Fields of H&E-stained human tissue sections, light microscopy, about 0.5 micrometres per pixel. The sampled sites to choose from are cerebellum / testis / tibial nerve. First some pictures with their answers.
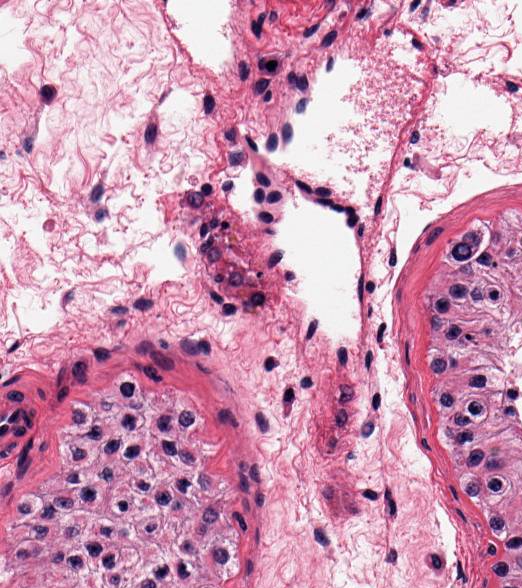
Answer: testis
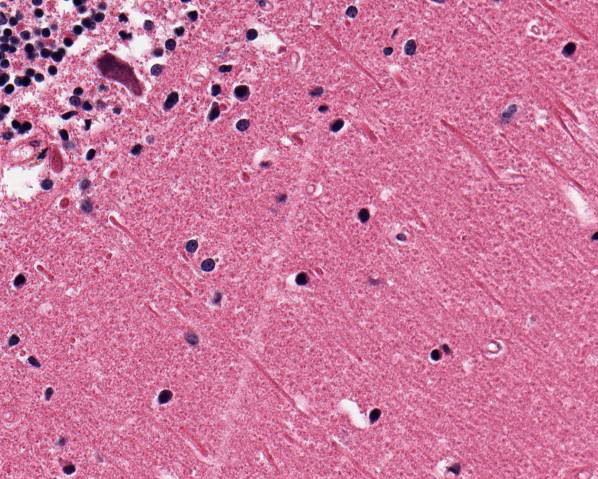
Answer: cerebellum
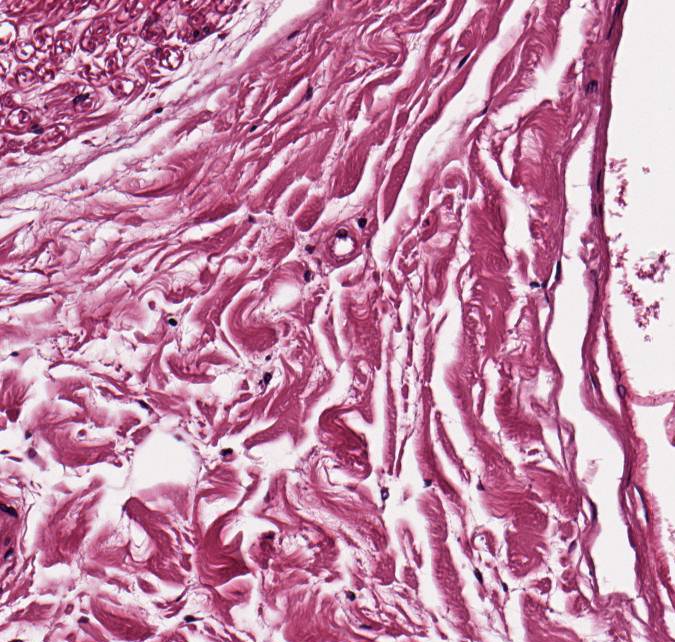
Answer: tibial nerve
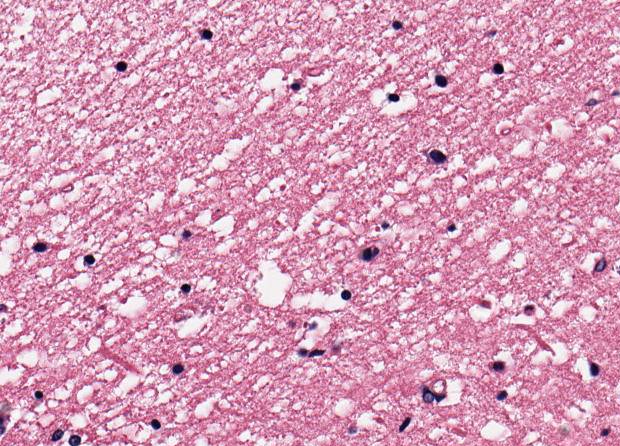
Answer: cerebellum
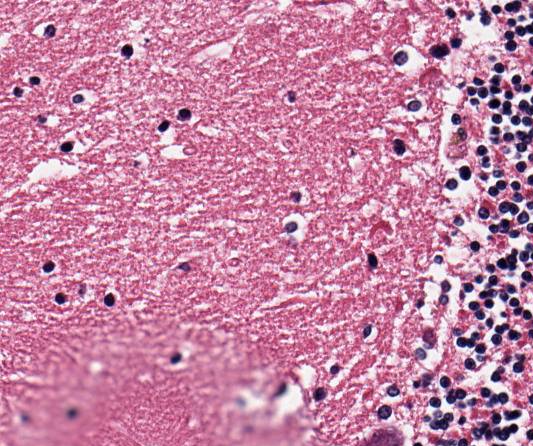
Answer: cerebellum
